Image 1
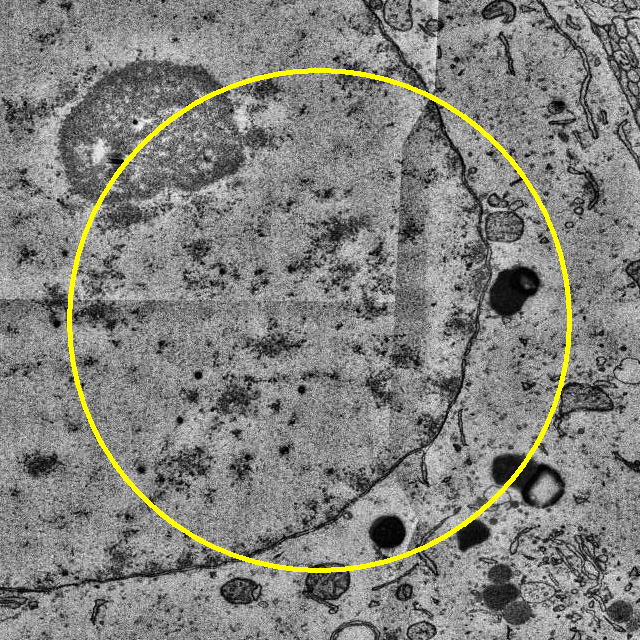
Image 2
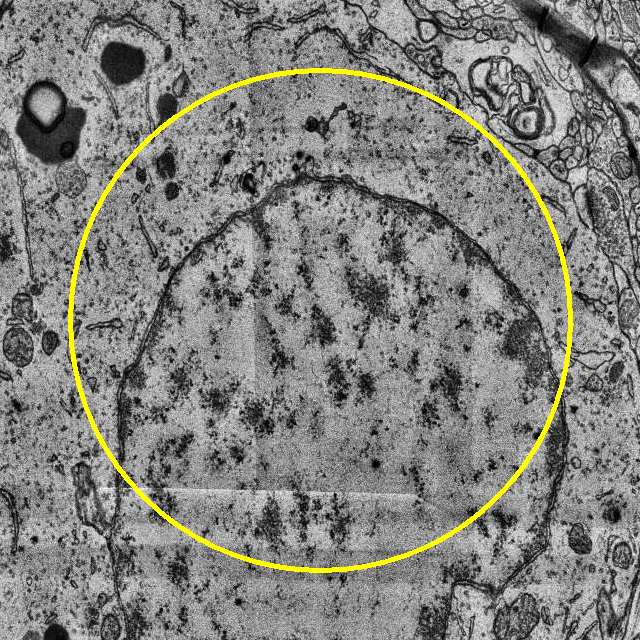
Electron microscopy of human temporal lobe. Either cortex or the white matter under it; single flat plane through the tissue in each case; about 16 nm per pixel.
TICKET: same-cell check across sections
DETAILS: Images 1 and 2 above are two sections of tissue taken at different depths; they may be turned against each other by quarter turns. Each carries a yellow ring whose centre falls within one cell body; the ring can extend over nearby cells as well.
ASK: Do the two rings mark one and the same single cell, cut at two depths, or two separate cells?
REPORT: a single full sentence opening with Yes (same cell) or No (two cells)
No, the two rings refer to two distinct cells.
